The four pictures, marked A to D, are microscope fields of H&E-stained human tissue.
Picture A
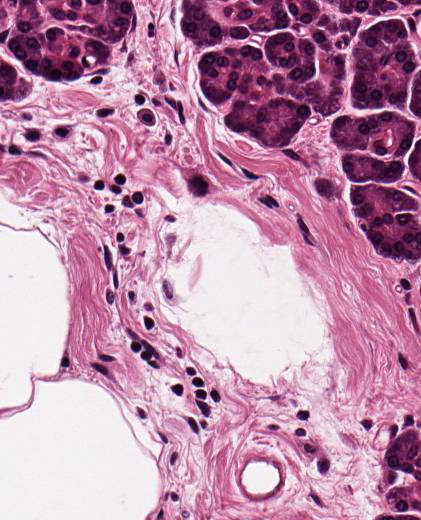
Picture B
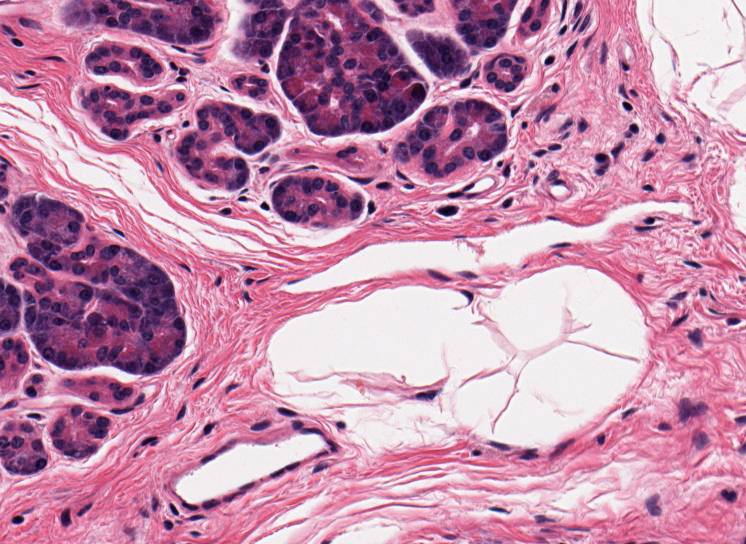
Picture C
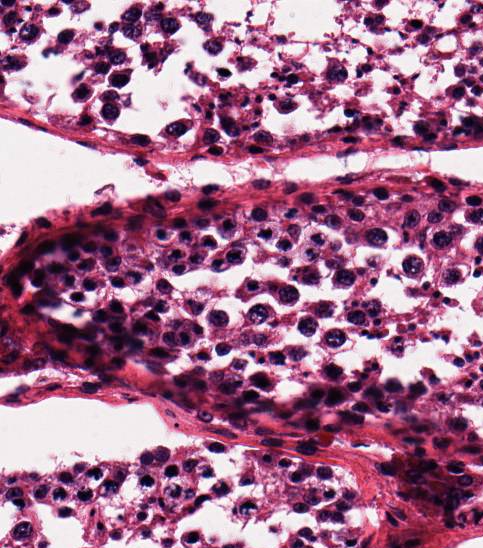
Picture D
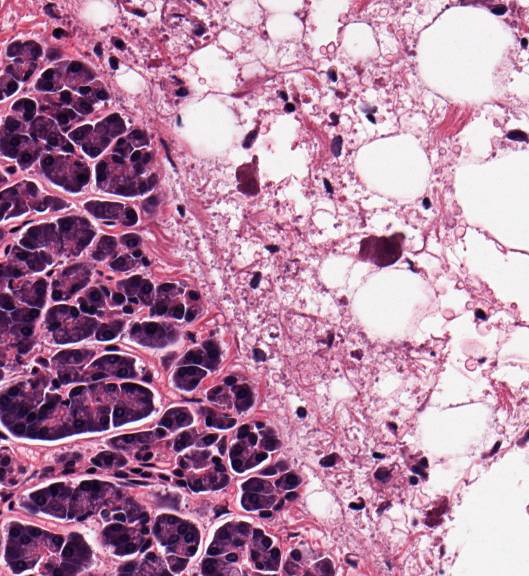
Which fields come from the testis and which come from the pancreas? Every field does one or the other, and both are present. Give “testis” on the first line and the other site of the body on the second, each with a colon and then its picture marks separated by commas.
testis: C
pancreas: A, B, D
